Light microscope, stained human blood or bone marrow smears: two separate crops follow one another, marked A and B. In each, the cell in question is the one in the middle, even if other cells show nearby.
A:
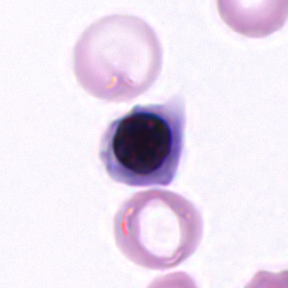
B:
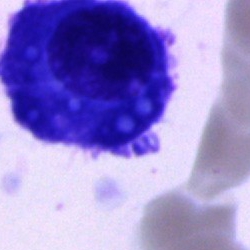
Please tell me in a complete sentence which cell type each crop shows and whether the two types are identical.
No, it is crop A that shows an erythroblast, and crop B that shows a plasma cell.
